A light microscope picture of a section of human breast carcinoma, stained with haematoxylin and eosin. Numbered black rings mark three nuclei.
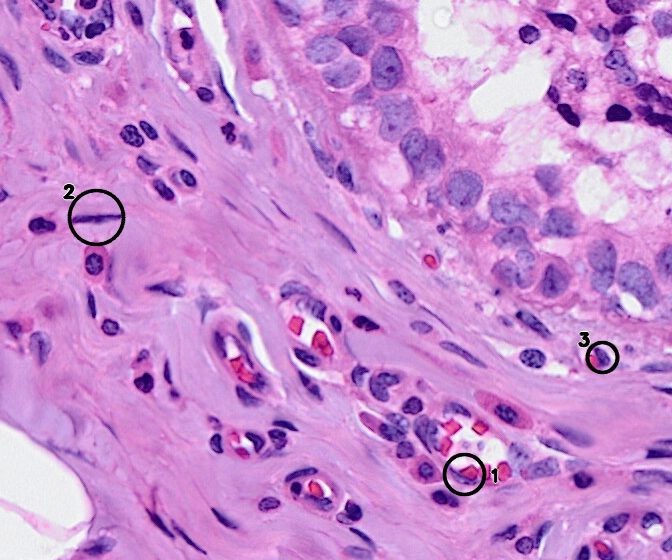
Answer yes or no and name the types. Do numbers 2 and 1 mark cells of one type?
No, cell 2 is a fibroblast and cell 1 is an endothelial cell.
